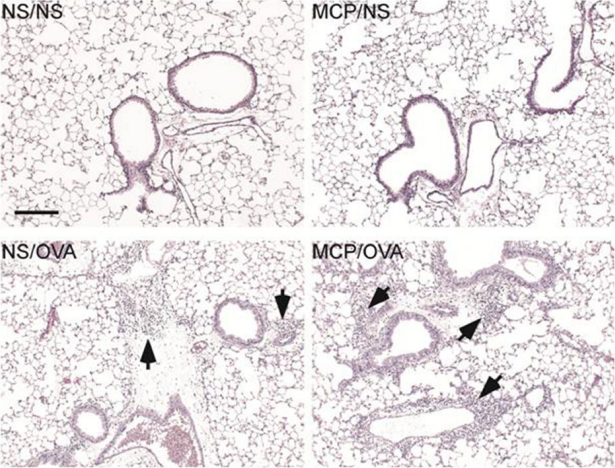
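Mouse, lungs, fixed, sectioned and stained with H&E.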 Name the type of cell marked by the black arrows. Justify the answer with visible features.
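Inflammatory cells. In the lower two images the arrows point to dense clusters of small, dark-purple nuclei. These clusters sit around airways and vessels. The upper two images lack such dense clusters.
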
